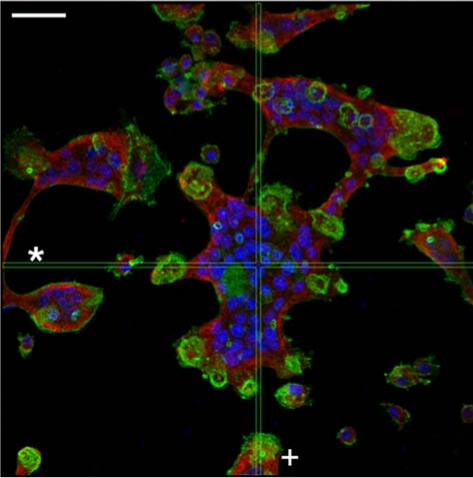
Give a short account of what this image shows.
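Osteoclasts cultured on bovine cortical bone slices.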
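Several very large, flat cells with irregular, branching outlines spread across the dark background, their cytoplasm filled with red. The largest holds dozens of round blue nuclei packed together near its middle, and others hold fewer nuclei scattered through the red cytoplasm. Green rims and ring-like outlines mark the edges of smaller round cells nearby and small spots within the large cells.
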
